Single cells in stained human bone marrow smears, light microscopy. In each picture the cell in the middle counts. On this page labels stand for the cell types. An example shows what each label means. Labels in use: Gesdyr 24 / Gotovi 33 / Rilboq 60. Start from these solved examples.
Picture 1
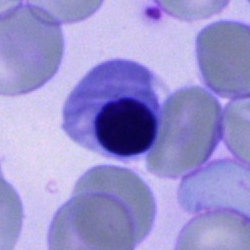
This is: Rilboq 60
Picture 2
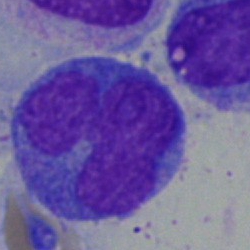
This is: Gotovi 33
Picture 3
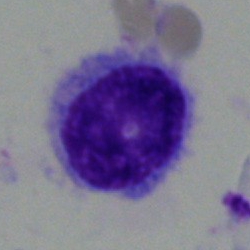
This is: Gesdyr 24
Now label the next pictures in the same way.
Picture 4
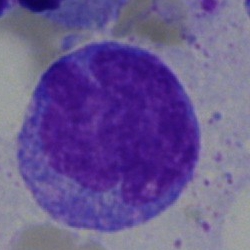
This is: Gotovi 33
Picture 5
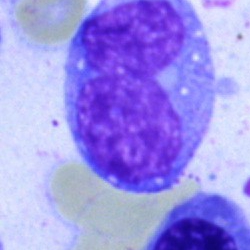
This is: Gotovi 33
